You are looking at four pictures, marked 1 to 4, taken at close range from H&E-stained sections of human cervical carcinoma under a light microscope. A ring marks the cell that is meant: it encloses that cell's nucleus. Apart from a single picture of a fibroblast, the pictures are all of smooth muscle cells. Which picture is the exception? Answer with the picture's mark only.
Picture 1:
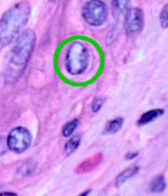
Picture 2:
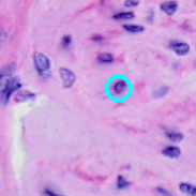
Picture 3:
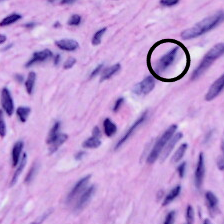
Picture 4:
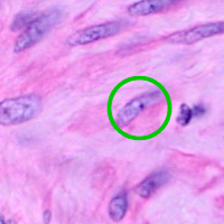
3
